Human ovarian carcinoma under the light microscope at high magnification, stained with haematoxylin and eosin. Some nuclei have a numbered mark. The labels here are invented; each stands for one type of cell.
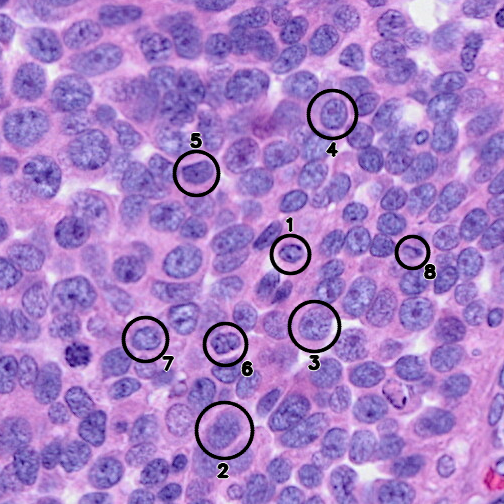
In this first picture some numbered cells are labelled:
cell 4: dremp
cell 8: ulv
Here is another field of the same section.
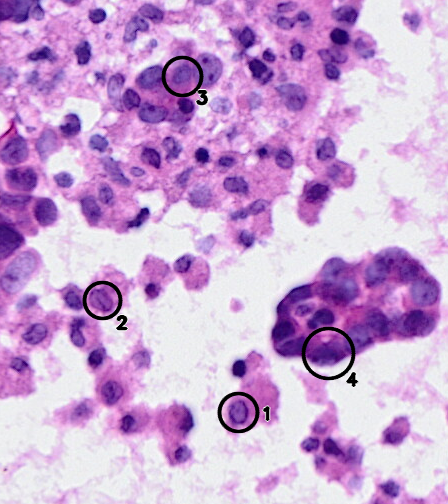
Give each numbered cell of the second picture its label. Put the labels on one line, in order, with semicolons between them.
ulv; ulv; dremp; dremp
